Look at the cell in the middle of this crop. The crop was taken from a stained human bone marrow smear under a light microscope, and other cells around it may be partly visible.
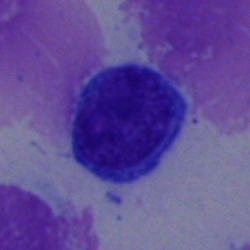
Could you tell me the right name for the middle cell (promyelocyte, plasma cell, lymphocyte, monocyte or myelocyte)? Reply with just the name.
lymphocyte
